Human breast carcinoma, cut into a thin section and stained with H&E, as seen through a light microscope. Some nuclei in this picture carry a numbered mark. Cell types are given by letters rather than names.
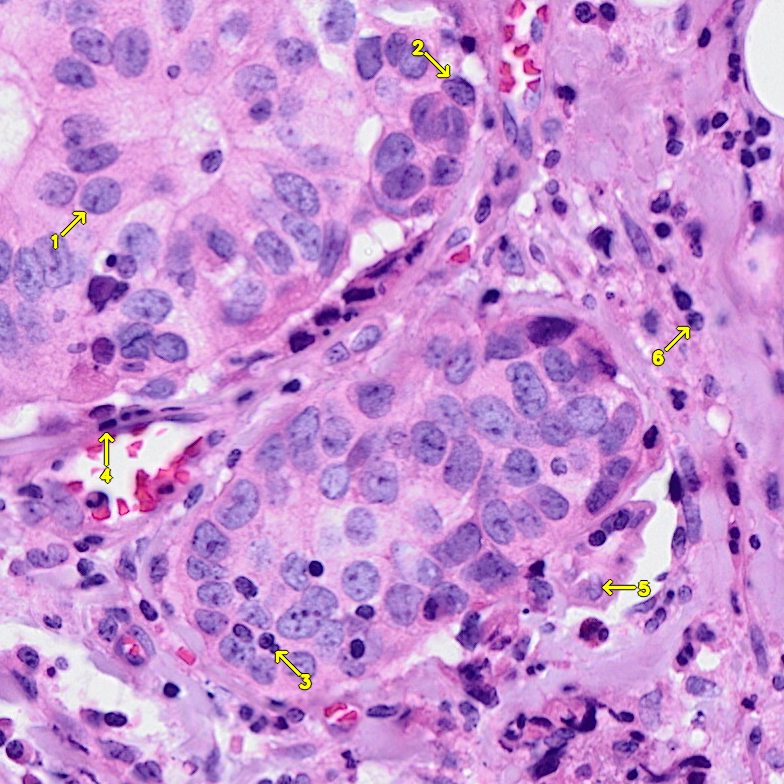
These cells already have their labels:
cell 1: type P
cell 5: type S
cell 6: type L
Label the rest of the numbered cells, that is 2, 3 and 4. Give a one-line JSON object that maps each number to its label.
{"2": "type P", "3": "type L", "4": "type S"}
